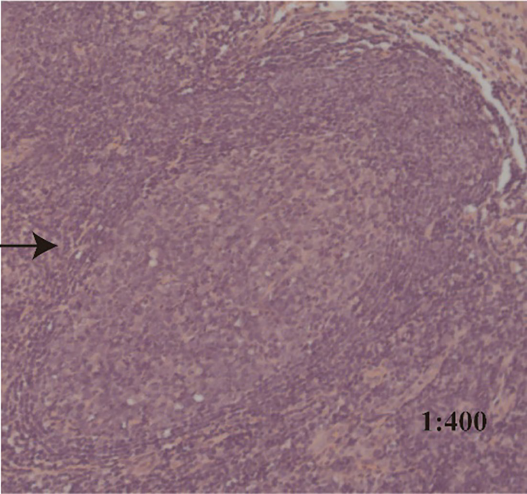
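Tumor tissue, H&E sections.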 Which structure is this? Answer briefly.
Secondary lymphoid structures.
